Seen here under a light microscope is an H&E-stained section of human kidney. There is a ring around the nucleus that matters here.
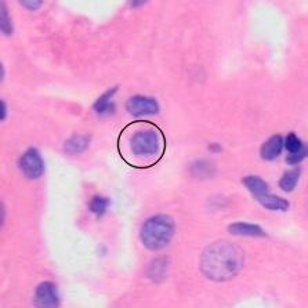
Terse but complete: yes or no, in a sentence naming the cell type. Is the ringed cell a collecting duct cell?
No, not a collecting duct cell: the ringed cell is a loop of Henle or distal tubule cell.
